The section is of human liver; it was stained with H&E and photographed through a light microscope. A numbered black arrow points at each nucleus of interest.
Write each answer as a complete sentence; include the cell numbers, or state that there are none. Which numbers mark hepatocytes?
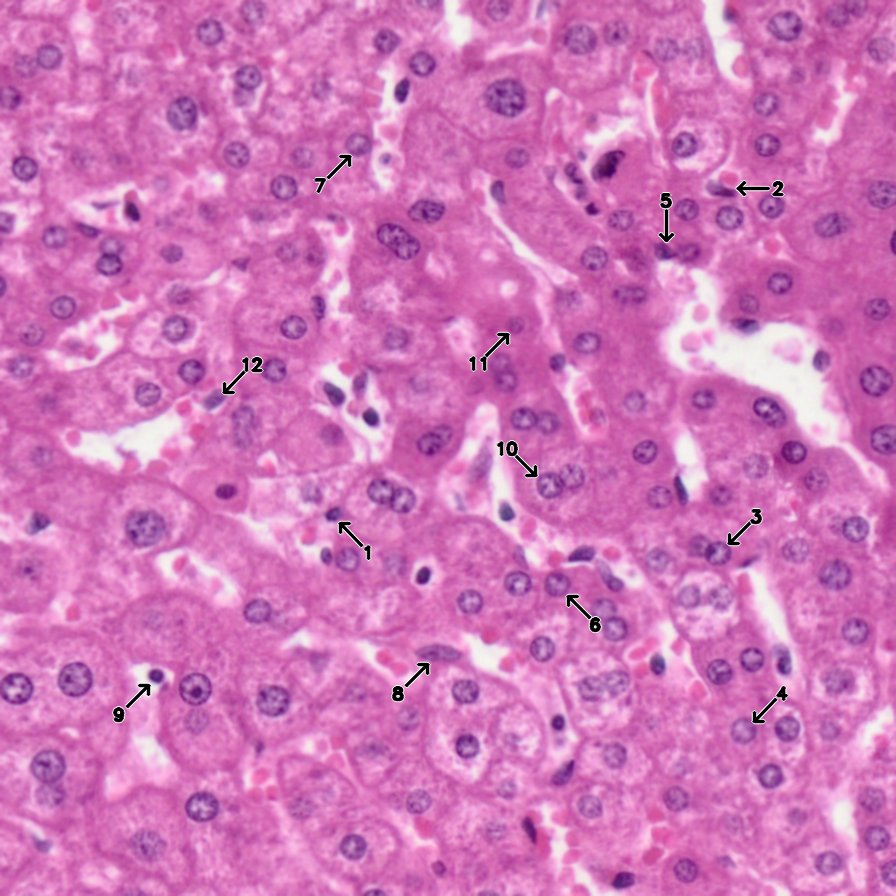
By cell type, the cells numbered 3, 4, 6, 7, 10 and 11 are hepatocytes.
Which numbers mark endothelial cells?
The cells numbered 2 and 12 are typed as endothelial cells.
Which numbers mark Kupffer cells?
Only the cell with the number 8 is a Kupffer cell.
